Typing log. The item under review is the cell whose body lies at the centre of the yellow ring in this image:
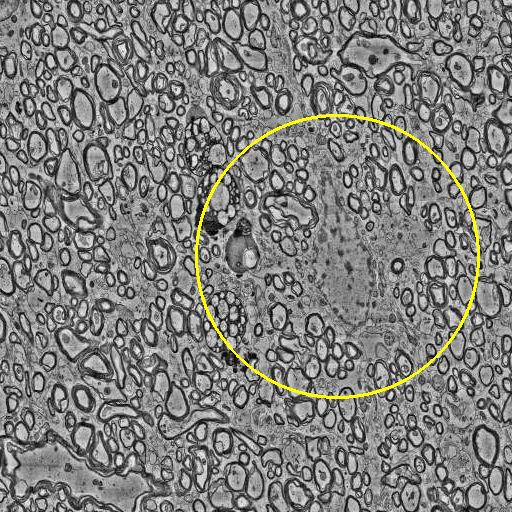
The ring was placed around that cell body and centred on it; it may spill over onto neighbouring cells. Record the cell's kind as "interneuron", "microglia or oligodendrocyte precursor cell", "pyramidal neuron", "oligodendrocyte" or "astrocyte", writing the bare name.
astrocyte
